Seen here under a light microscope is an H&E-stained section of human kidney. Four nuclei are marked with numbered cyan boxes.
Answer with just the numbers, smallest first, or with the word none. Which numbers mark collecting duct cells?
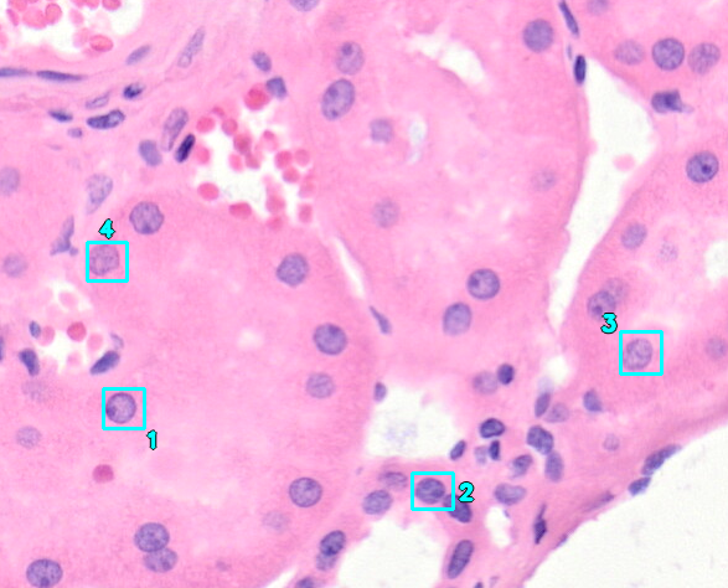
2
